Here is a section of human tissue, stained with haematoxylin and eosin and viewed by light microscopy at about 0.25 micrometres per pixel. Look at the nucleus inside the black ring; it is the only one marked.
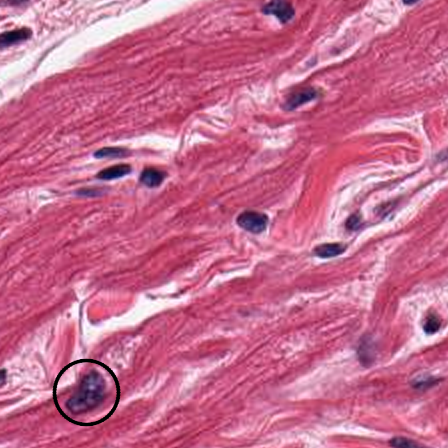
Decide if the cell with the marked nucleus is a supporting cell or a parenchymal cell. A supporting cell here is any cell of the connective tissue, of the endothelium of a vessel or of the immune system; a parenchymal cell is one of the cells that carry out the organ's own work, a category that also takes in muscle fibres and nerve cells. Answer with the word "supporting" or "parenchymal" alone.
parenchymal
